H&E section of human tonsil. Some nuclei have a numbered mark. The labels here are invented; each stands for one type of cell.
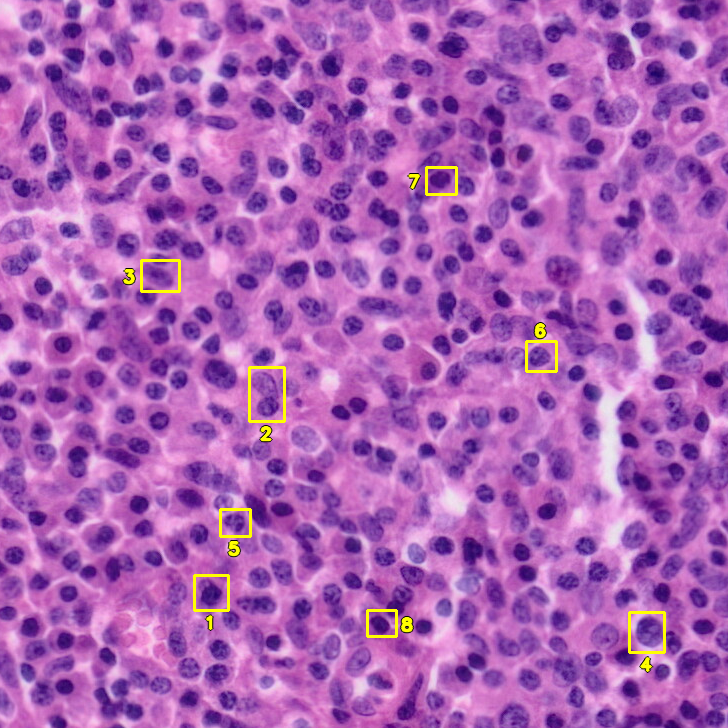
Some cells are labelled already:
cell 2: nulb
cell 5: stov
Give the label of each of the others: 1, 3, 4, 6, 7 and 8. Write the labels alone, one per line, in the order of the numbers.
stov
nulb
nulb
stov
stov
stov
